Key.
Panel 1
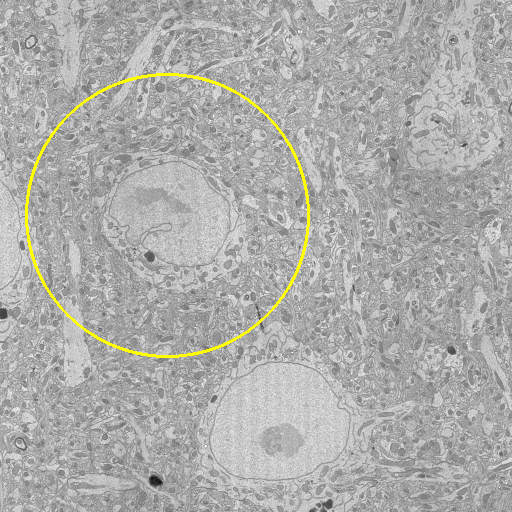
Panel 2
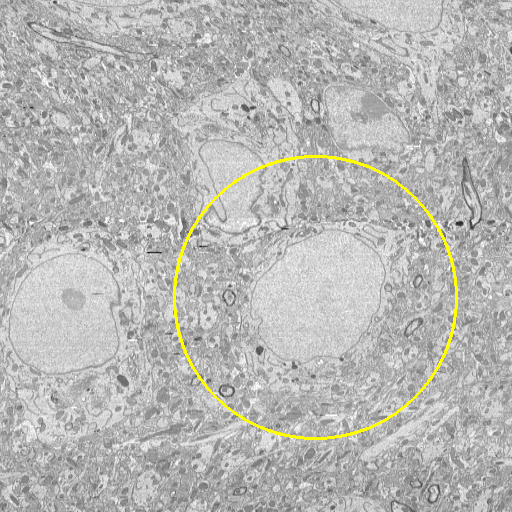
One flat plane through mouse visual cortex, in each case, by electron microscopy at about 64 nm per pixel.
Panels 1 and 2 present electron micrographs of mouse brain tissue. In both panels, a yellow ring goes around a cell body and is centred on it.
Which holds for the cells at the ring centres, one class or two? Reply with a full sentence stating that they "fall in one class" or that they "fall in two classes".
Taken together, the ring-centre cells of the two panels fall in two classes.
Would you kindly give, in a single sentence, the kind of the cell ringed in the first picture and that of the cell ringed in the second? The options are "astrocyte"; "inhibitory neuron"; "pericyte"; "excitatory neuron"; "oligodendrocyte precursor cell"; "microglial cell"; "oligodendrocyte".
The second cell is an excitatory neuron, and the first cell is an inhibitory neuron.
